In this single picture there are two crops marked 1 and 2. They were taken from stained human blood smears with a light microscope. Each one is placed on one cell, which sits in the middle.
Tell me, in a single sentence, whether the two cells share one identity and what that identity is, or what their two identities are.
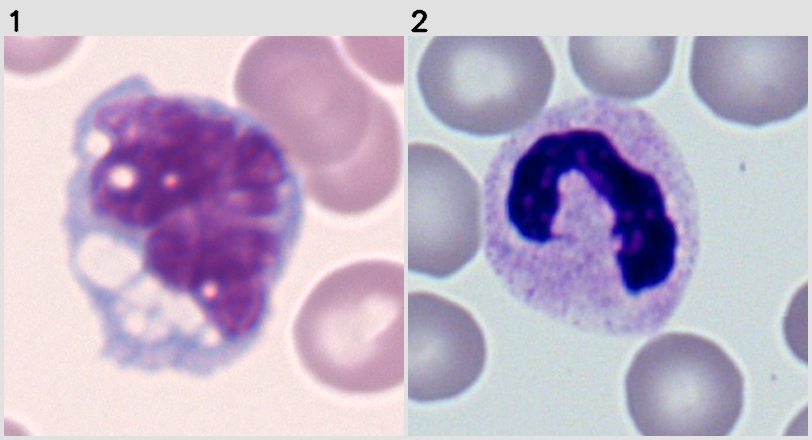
No, crop 1 represents a monocyte, and crop 2 represents a band neutrophil.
